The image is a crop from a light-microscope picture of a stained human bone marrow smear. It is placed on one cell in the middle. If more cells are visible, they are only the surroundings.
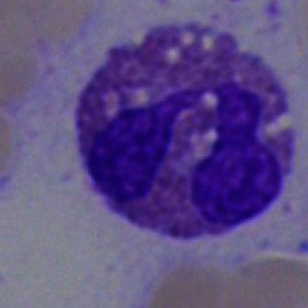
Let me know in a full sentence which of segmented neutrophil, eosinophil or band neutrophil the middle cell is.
The cell at the middle of the crop is recognized as an eosinophil.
